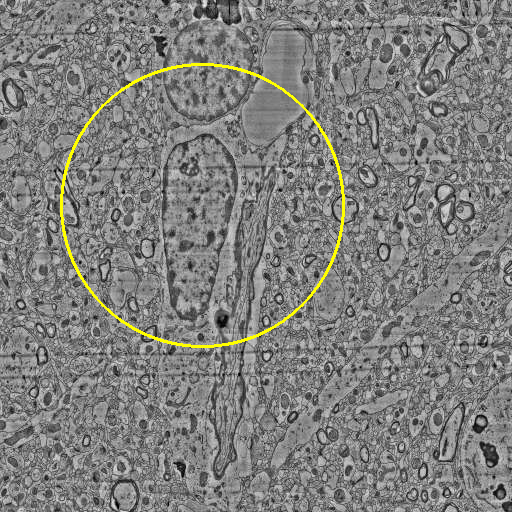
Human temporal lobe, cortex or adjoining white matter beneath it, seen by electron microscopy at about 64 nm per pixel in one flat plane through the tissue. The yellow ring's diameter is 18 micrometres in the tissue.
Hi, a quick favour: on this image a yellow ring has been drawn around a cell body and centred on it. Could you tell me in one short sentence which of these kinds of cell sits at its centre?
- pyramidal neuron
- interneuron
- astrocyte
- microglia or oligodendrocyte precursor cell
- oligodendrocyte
The ring is centred on a microglial cell or oligodendrocyte precursor cell.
